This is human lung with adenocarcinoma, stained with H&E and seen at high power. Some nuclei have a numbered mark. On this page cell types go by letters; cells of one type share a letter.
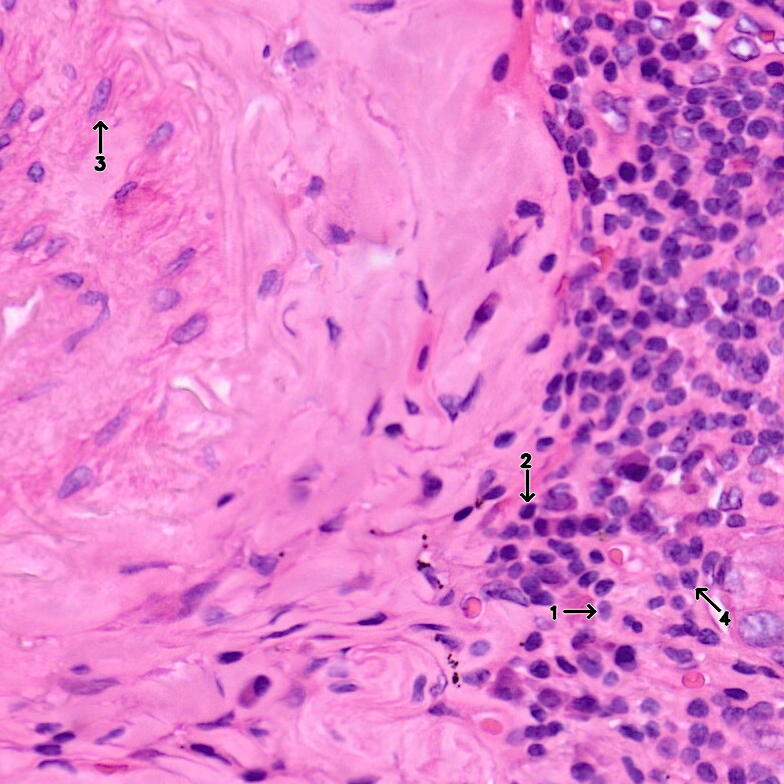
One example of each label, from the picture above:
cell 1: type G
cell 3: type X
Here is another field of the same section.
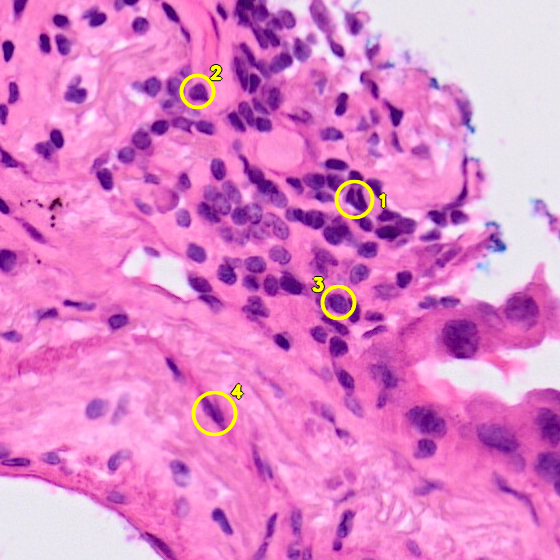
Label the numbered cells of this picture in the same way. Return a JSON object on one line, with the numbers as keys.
{"1": "type G", "2": "type G", "3": "type G", "4": "type X"}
